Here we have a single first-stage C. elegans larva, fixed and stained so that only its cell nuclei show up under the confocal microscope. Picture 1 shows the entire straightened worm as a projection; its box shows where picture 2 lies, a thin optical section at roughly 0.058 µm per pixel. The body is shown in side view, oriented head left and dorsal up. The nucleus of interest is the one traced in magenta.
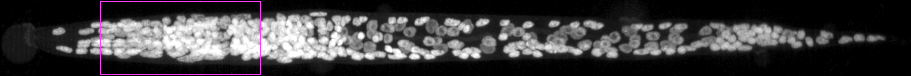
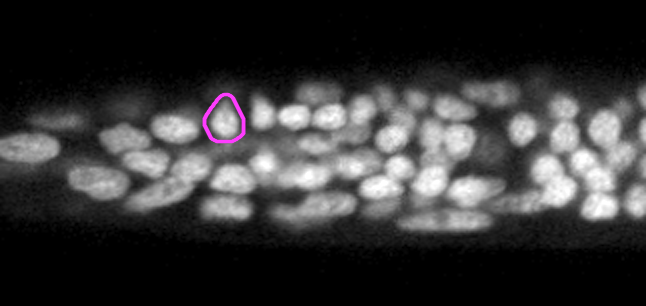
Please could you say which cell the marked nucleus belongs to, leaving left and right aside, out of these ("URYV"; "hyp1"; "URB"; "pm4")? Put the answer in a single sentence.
The marked nucleus belongs to hyp1, a hypodermal cell (hyp).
